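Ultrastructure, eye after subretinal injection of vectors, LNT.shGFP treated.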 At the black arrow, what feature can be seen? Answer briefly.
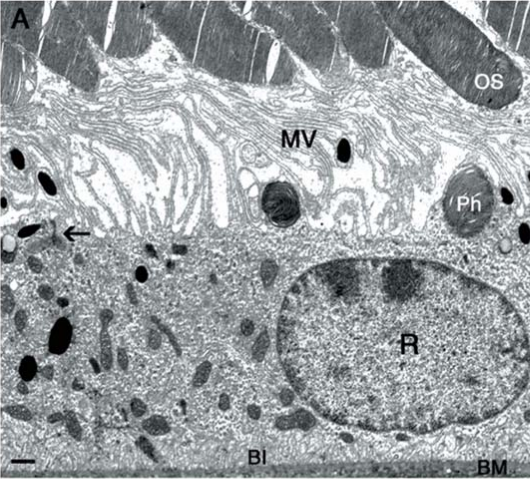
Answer: Tight junctions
